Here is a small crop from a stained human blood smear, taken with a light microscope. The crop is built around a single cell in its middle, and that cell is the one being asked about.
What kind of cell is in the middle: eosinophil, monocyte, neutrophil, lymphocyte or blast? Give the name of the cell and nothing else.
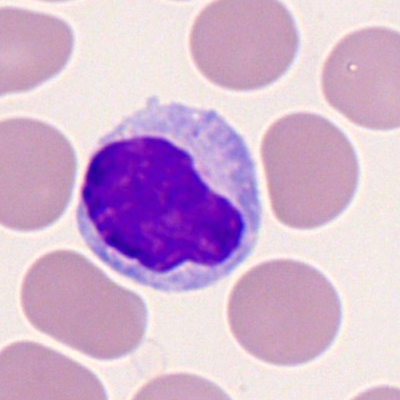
lymphocyte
